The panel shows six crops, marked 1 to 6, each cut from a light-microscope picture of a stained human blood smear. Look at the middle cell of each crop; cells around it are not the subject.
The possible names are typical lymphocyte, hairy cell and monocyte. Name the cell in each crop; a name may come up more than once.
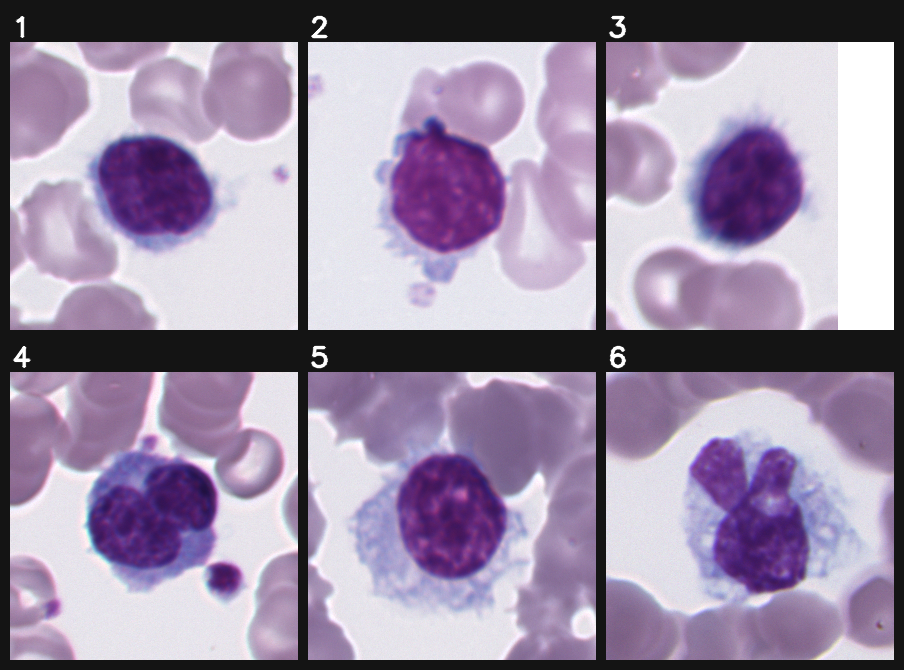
1: hairy cell
2: typical lymphocyte
3: hairy cell
4: monocyte
5: hairy cell
6: monocyte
